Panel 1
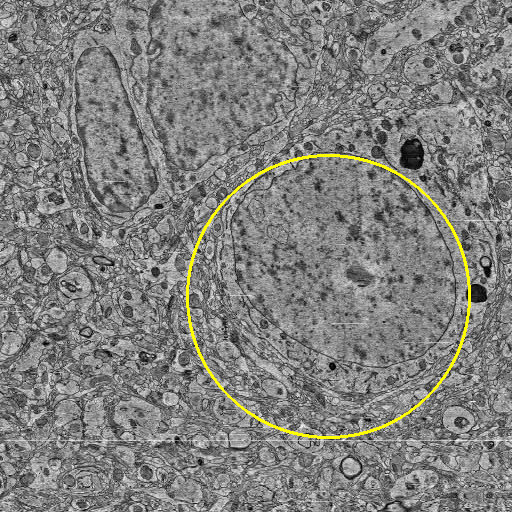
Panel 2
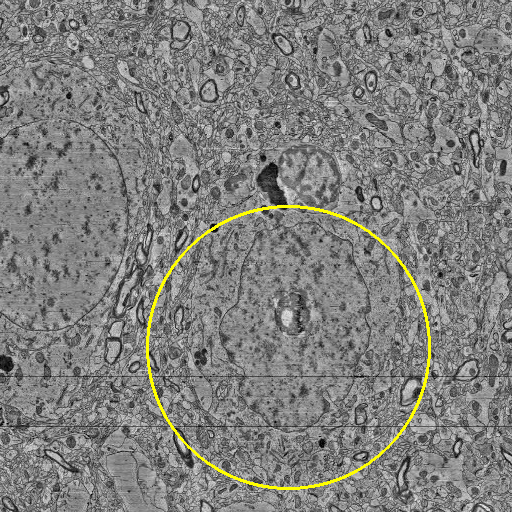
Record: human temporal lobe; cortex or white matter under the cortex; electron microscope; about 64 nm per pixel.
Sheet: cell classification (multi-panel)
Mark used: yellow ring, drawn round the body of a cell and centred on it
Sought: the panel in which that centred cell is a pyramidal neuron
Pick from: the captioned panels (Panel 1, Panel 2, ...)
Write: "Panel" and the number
Panel 1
